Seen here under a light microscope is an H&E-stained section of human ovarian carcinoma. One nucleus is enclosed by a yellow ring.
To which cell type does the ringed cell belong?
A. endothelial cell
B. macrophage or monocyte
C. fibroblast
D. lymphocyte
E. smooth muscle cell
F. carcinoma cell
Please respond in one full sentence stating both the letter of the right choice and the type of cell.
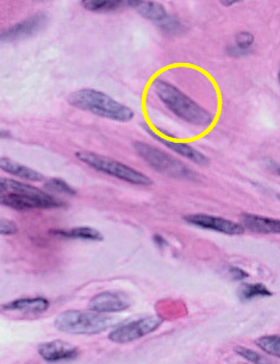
Here the right answer is E, with the ringed cell being a smooth muscle cell.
